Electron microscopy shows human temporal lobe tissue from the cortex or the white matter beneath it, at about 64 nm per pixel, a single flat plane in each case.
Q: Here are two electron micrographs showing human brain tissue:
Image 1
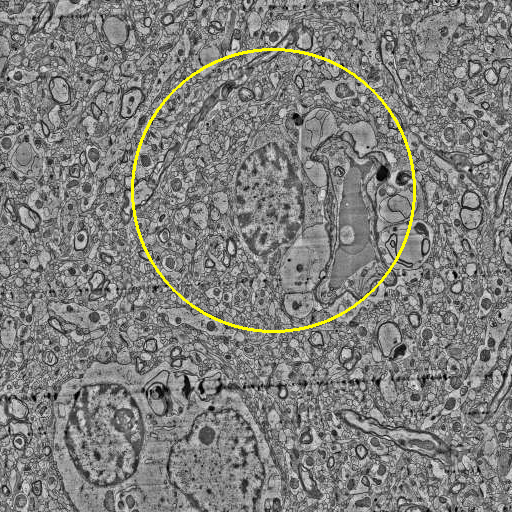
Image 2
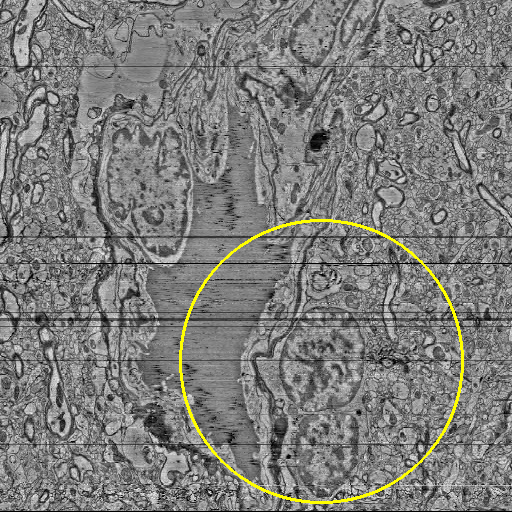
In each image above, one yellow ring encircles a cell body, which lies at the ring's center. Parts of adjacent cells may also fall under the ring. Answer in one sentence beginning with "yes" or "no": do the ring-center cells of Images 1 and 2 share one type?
Yes, in Images 1 and 2, the ring-center cells are both of one type.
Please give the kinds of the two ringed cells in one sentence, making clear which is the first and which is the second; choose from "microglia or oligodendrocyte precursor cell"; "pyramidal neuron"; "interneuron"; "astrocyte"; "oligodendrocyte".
In the first picture and in the second, the ring is centred on an oligodendrocyte.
